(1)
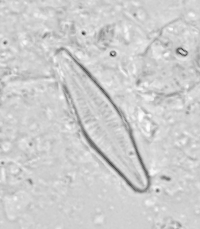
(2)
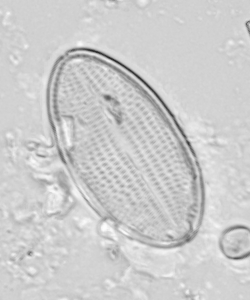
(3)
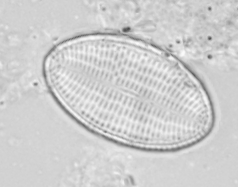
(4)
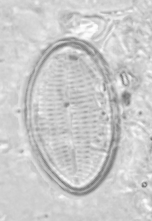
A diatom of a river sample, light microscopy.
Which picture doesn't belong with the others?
Picture 1.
